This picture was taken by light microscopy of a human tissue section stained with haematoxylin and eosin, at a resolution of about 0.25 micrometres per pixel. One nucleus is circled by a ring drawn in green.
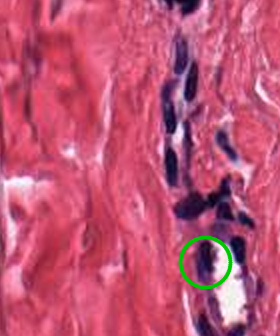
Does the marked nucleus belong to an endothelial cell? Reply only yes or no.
yes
